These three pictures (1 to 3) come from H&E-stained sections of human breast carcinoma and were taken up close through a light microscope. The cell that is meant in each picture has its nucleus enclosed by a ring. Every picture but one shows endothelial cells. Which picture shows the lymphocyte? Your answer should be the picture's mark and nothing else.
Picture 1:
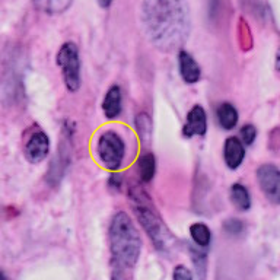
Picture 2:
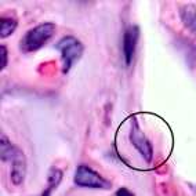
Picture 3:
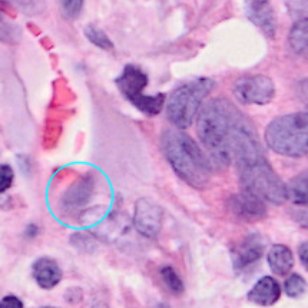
1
